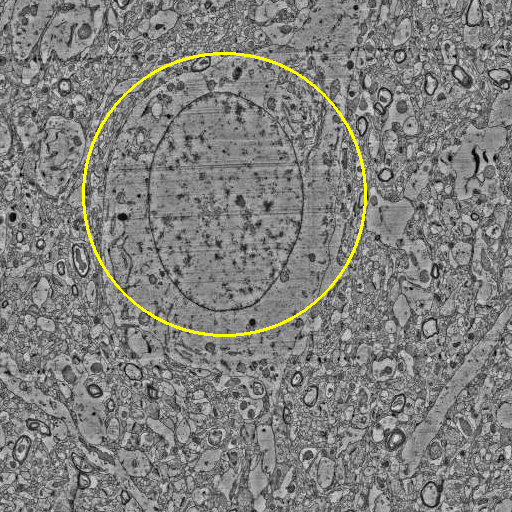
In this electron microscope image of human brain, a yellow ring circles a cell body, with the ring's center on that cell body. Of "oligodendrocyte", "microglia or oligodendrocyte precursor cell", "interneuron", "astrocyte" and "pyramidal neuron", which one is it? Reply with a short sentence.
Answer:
It is a pyramidal neuron at the center of the ring.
